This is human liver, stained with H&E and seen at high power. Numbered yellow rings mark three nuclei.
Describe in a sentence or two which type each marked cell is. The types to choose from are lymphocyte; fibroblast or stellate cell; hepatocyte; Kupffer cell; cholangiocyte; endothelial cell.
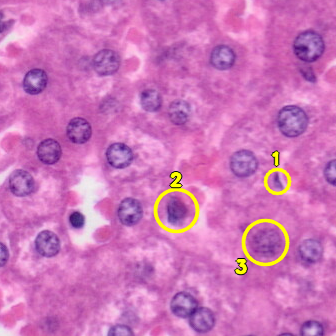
Cell 1 is an endothelial cell, cell 2 is an endothelial cell and cell 3 is a hepatocyte.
